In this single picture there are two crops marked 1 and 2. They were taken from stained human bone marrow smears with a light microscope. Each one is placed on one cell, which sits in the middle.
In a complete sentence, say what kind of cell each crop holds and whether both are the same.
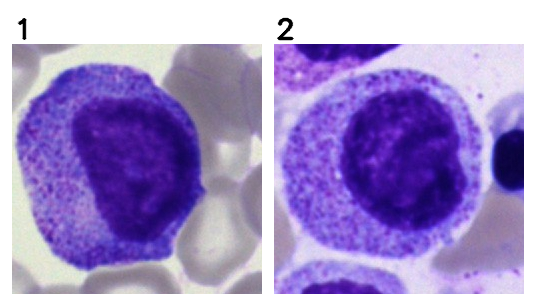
Yes, promyelocytes are the cells shown in both crops.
